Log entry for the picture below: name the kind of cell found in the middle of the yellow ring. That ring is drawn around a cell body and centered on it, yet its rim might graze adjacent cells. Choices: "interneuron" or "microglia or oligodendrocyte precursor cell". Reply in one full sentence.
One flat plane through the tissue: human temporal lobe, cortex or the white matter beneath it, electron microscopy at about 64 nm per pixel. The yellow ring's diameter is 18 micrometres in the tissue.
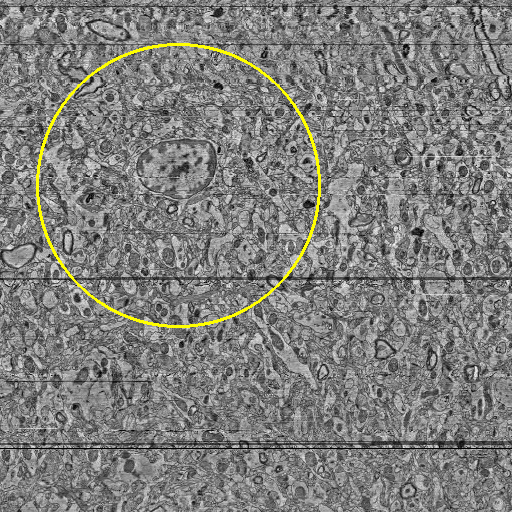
The cell in the middle of the yellow ring in this picture is a microglial cell or oligodendrocyte precursor cell.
